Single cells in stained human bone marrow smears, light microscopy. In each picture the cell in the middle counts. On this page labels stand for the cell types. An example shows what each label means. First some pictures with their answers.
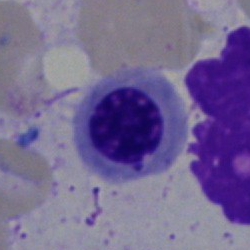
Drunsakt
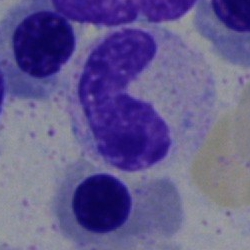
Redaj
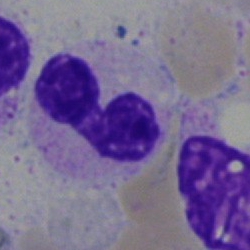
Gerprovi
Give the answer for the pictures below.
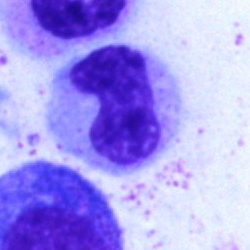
Redaj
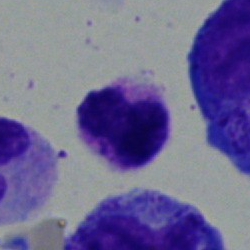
Gerprovi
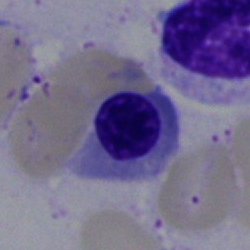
Drunsakt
